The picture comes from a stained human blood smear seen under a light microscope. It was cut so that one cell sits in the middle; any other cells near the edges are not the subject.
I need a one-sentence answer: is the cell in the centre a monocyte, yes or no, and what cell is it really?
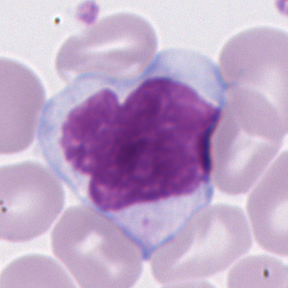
No, what occupies the middle of the crop is a large granular lymphocyte and not a monocyte.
